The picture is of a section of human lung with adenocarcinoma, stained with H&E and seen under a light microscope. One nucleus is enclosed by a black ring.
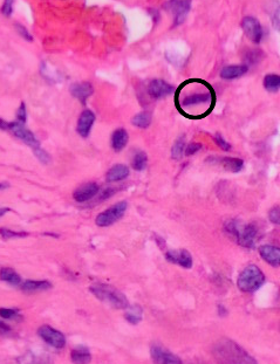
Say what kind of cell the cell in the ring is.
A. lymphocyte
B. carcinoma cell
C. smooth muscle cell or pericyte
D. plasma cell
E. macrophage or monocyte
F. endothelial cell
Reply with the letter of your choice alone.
D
